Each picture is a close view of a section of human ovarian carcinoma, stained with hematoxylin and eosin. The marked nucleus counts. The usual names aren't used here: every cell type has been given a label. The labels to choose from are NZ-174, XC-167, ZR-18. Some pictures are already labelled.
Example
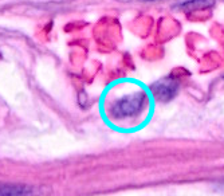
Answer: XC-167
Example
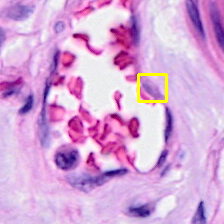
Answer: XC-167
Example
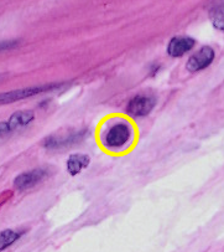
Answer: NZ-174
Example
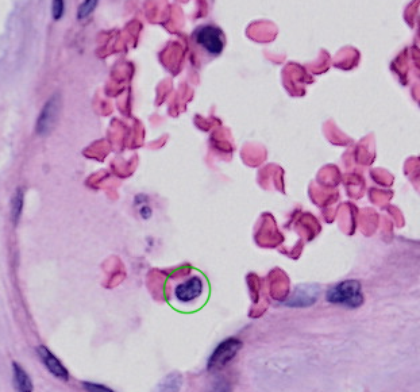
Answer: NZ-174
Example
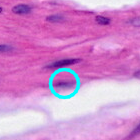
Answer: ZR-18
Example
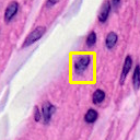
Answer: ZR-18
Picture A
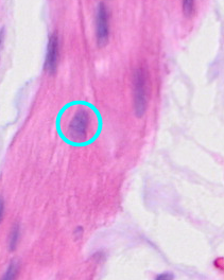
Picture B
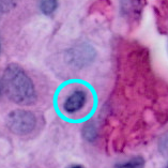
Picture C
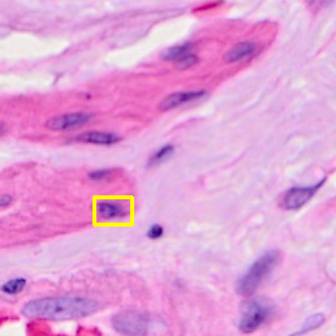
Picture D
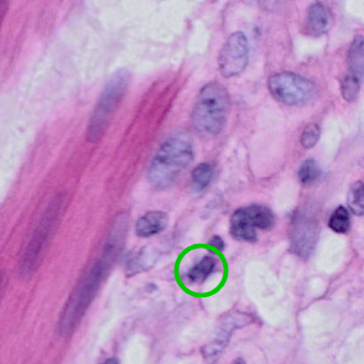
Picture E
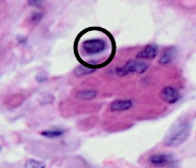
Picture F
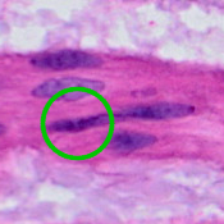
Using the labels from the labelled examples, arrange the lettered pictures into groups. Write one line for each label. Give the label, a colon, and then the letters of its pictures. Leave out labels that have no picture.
NZ-174: B, D, E
ZR-18: A, C, F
